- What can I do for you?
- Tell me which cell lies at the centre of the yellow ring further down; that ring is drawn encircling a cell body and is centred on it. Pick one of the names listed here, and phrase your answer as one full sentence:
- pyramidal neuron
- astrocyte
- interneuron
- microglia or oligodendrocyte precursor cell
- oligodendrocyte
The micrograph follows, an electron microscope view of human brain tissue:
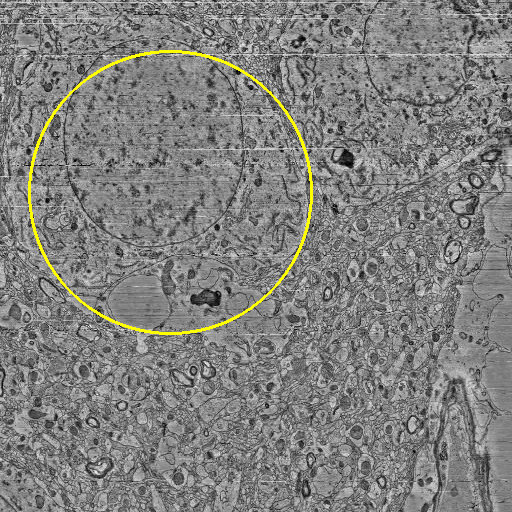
The cell whose body lies at the centre of the yellow ring is a pyramidal neuron.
